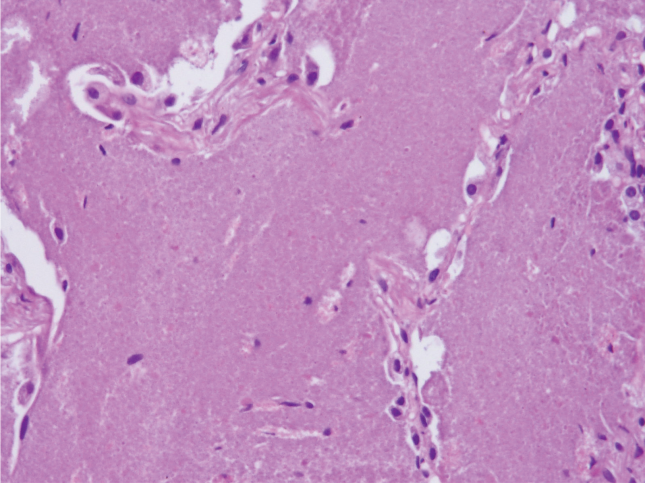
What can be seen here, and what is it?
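This is lung tissue at high power, where the air spaces are no longer empty but filled with material. Large areas of finely granular, pale pink, almost acellular substance fill the spaces between the walls. The walls themselves are thin septa lined by flattened cells with dark oval nuclei. In places the septa hold a few more small round dark nuclei, a mild scattering of inflammatory cells. Only a few scattered nuclei lie within the pink granular material itself.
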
